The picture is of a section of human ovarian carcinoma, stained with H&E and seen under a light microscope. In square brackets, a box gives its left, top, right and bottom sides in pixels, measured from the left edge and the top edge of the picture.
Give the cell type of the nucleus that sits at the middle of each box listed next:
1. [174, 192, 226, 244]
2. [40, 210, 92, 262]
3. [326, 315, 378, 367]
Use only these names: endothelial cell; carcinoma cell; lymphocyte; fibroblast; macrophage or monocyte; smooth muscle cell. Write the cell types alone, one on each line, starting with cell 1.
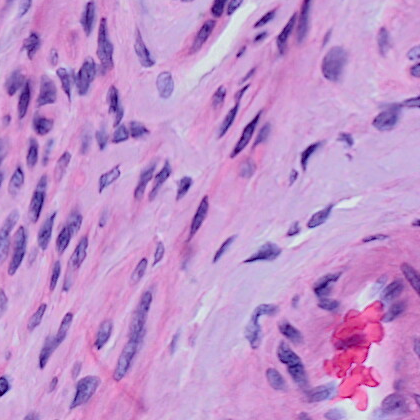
smooth muscle cell
smooth muscle cell
endothelial cell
